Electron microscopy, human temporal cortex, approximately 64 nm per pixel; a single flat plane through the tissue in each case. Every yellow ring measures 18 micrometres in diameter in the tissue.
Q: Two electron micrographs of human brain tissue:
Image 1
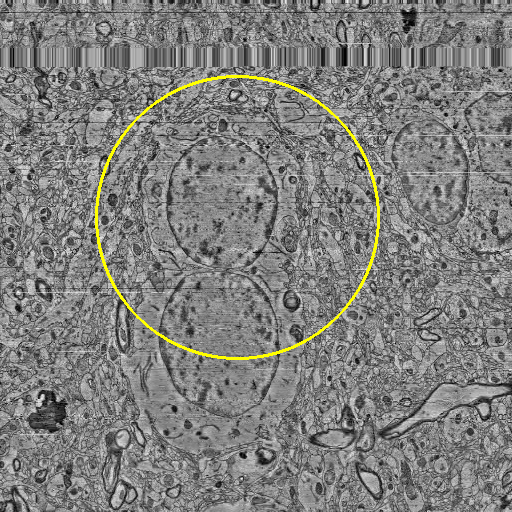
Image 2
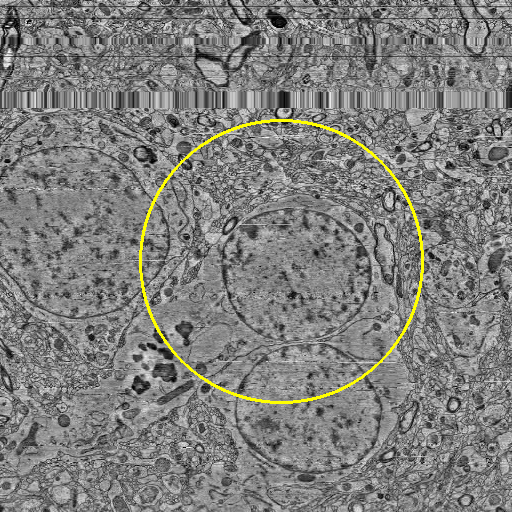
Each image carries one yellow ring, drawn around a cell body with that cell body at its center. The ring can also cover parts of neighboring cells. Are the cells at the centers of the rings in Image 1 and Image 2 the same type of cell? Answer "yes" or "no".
yes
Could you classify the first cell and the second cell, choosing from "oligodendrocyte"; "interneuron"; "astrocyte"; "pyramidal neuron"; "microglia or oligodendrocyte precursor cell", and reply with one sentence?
In each of the two pictures, the ringed cell is an astrocyte.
